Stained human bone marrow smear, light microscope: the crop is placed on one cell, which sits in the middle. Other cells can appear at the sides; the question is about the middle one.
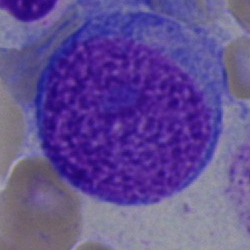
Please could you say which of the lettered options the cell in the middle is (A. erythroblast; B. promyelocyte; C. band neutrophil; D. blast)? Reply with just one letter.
D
